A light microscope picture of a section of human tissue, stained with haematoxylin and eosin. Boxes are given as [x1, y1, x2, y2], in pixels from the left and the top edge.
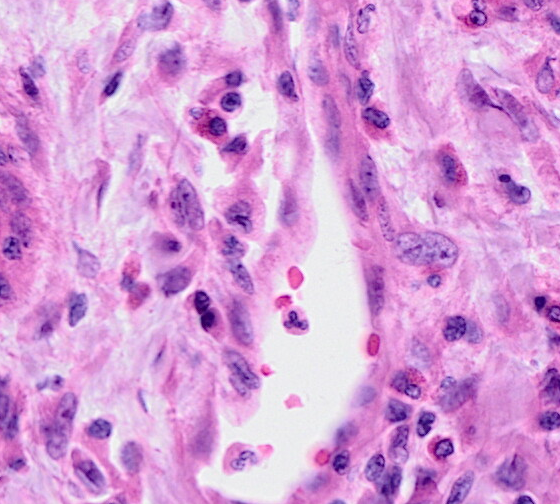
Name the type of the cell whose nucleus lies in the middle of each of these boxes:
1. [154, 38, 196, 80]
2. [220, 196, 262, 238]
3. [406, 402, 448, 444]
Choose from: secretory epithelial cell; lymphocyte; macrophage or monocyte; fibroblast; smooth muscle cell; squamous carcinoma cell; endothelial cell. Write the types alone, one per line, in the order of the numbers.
fibroblast
macrophage or monocyte
lymphocyte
